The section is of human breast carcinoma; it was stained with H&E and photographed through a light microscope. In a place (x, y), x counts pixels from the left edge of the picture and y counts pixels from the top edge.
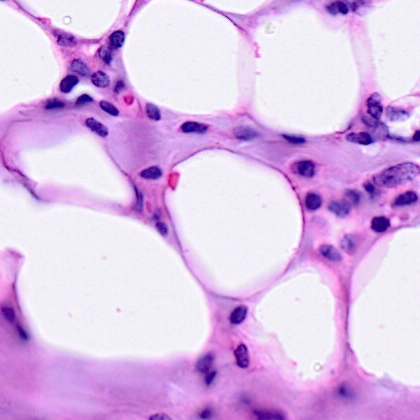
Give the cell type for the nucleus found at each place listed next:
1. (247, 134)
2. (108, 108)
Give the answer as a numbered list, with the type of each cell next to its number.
1. fibroblast
2. lymphocyte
